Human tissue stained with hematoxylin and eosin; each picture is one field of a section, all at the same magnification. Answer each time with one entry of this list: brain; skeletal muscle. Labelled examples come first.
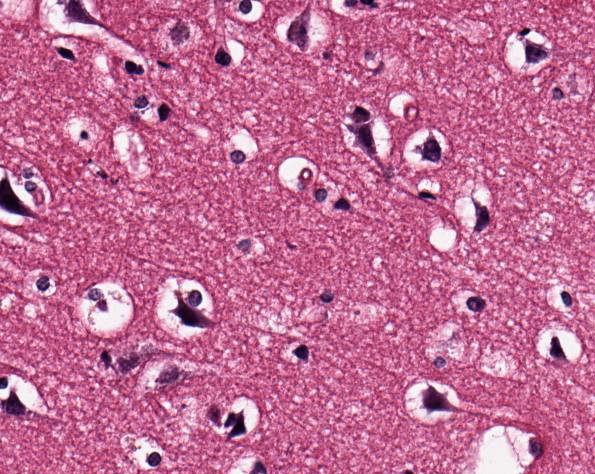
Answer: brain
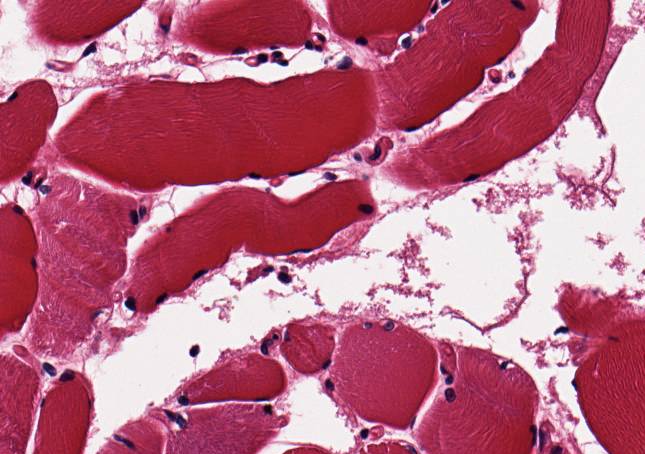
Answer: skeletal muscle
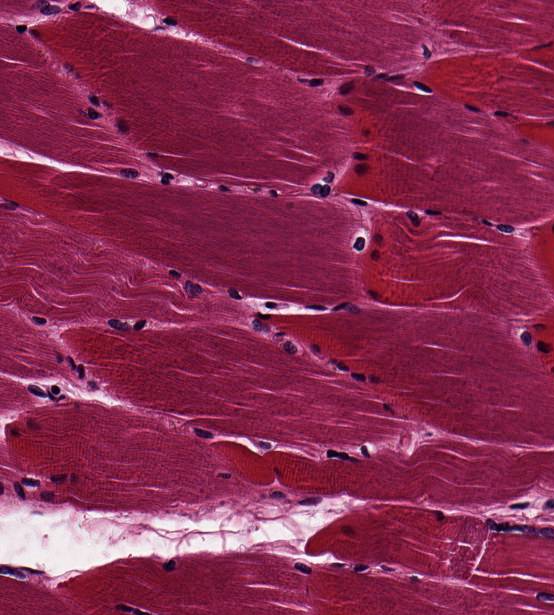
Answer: skeletal muscle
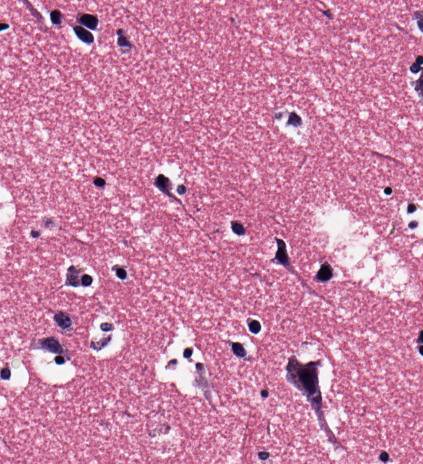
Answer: brain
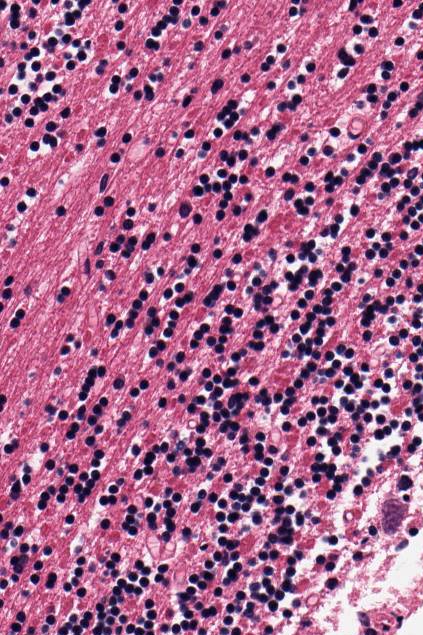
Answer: brain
